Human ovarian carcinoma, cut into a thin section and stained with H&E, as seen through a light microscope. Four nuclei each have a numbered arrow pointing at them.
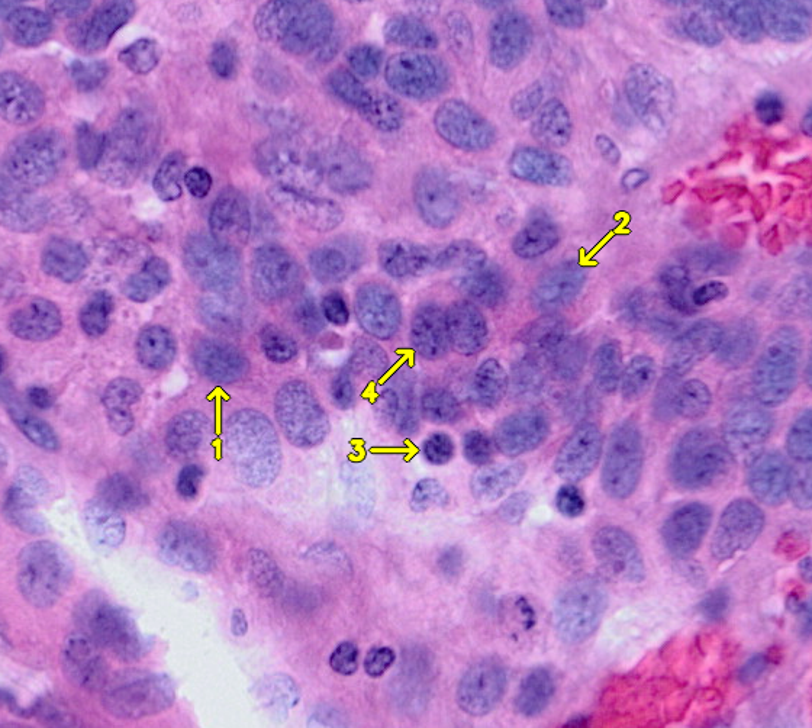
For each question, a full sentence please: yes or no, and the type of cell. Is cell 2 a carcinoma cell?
Yes, the one numbered 2 is a carcinoma cell.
